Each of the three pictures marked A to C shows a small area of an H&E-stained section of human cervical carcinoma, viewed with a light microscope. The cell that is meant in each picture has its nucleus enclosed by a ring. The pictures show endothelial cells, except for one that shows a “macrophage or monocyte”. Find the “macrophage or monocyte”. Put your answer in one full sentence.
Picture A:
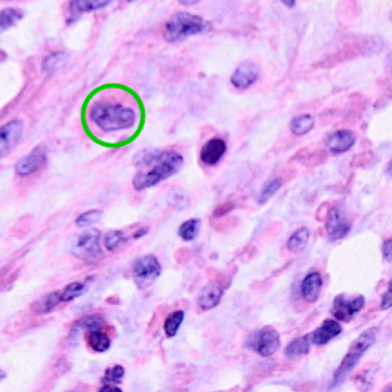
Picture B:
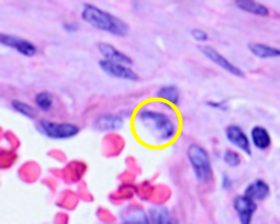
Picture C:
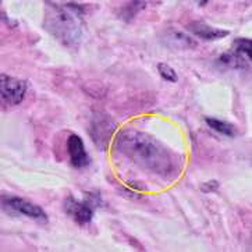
The “macrophage or monocyte” is the one in picture A.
